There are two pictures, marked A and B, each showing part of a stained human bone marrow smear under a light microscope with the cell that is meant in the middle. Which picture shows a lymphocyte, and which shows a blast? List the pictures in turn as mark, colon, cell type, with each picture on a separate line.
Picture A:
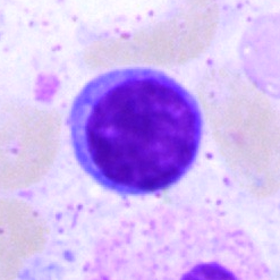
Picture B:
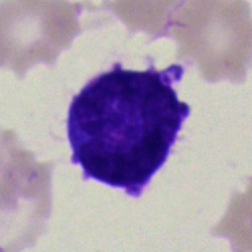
A: lymphocyte
B: blast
